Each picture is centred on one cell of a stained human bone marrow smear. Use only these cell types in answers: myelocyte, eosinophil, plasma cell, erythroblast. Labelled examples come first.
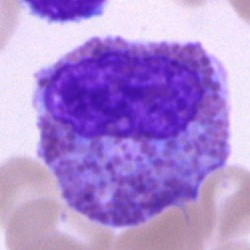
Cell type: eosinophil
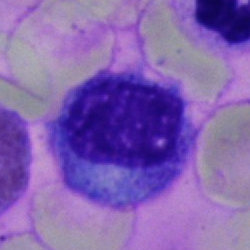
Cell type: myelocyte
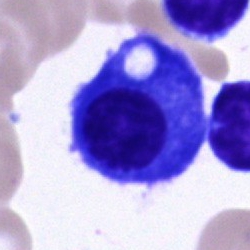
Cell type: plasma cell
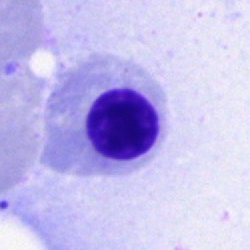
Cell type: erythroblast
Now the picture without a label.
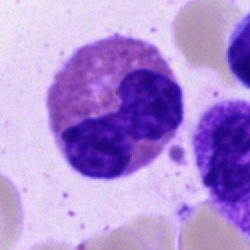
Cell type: eosinophil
